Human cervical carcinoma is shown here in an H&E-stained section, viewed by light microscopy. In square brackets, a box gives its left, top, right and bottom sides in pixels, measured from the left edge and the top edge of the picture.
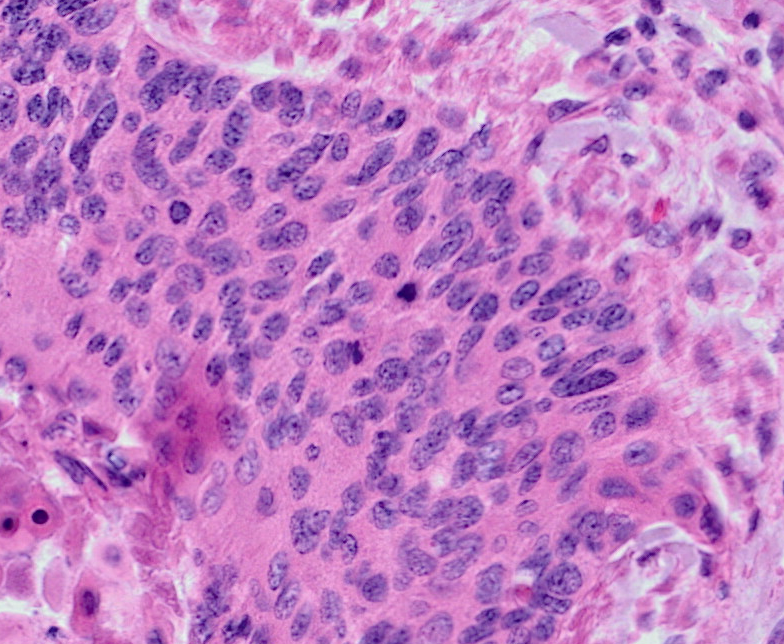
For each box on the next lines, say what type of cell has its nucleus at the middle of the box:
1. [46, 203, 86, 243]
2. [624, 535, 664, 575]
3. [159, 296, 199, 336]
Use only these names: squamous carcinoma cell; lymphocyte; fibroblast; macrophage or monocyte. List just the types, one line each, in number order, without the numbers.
squamous carcinoma cell
fibroblast
squamous carcinoma cell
